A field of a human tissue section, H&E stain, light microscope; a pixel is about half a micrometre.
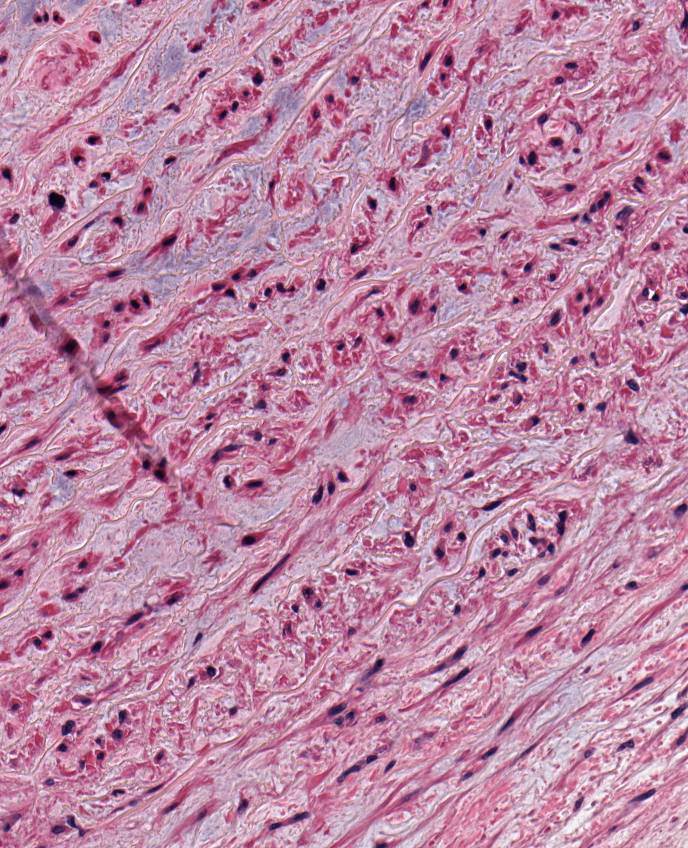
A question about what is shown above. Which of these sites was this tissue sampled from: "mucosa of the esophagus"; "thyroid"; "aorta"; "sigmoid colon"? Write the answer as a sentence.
The site this tissue was sampled from is the aorta.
